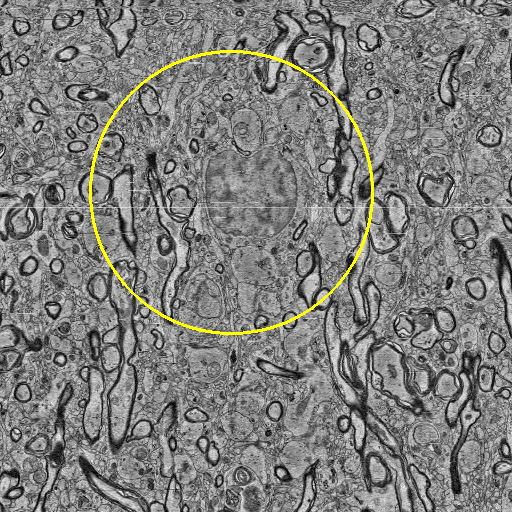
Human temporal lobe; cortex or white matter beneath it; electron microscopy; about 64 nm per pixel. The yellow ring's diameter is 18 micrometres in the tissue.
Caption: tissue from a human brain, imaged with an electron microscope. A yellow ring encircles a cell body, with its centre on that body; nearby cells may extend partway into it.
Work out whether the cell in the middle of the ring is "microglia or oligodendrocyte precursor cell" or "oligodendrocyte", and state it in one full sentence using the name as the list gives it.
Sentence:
In the picture, the cell that the yellow ring surrounds at its centre is an oligodendrocyte.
